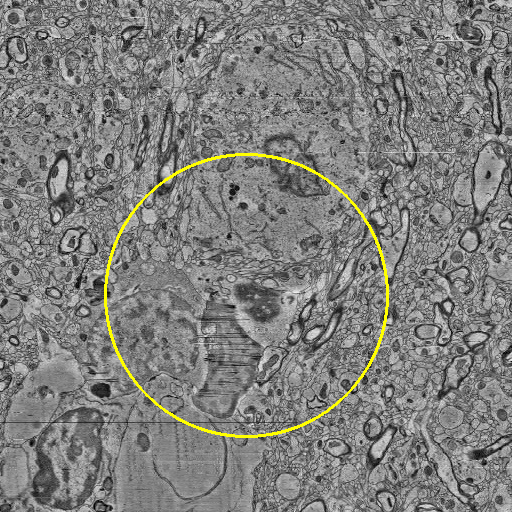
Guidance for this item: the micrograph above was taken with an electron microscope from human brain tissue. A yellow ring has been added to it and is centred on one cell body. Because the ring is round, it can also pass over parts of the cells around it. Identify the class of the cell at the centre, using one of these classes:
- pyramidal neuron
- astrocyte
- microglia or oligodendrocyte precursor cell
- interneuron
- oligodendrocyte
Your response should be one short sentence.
The ring surrounds the body of an oligodendrocyte.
